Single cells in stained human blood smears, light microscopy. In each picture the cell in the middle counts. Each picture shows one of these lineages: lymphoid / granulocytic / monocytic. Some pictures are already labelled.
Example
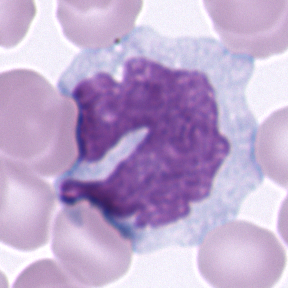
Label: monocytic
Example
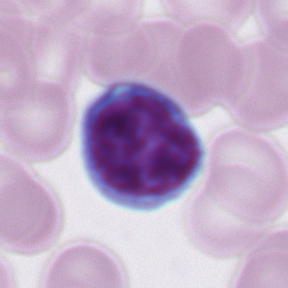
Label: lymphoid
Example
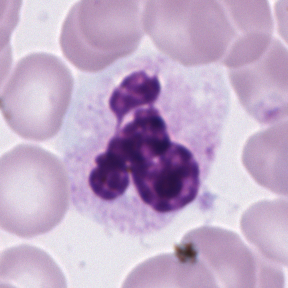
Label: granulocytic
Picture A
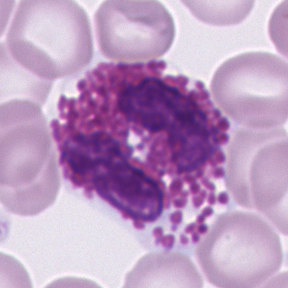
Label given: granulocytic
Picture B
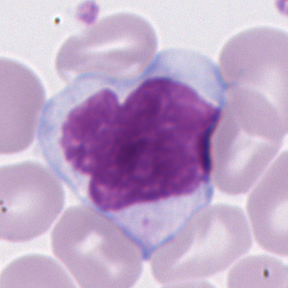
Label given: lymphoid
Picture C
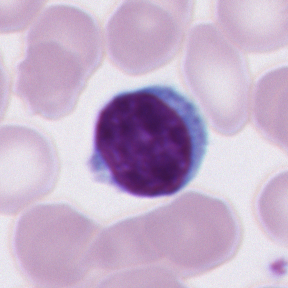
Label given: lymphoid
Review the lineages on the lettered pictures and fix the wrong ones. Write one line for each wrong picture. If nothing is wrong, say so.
No label is wrong.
